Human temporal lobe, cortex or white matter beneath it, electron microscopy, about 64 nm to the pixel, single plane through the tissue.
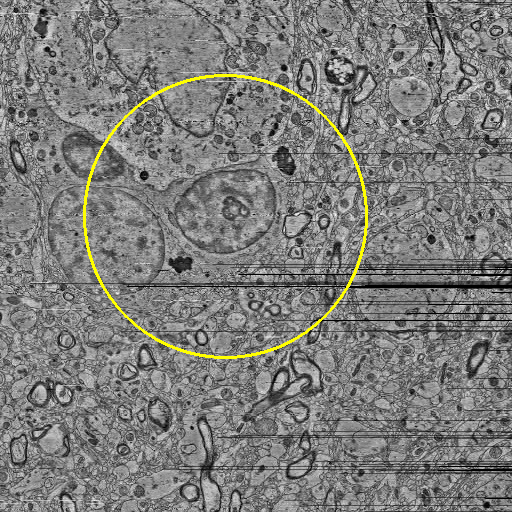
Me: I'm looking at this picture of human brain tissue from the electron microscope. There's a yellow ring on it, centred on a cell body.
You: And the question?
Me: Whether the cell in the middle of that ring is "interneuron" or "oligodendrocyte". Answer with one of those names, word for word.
oligodendrocyte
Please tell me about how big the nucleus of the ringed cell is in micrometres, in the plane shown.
In this plane the nucleus measures roughly 7 by 5 micrometres.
